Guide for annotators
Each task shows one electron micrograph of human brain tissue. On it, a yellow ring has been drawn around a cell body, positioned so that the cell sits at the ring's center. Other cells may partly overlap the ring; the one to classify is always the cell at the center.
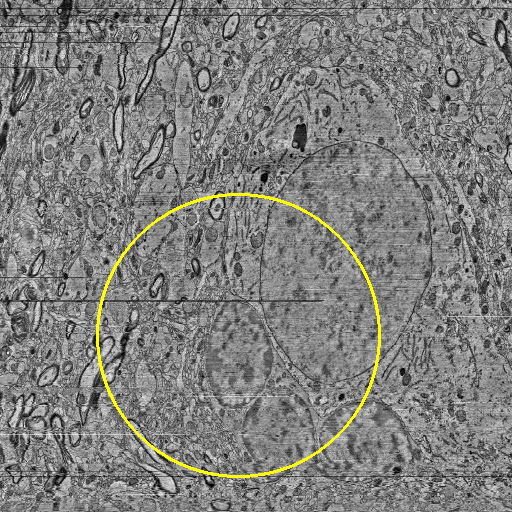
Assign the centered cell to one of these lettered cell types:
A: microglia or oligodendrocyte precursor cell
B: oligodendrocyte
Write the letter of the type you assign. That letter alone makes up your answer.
B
